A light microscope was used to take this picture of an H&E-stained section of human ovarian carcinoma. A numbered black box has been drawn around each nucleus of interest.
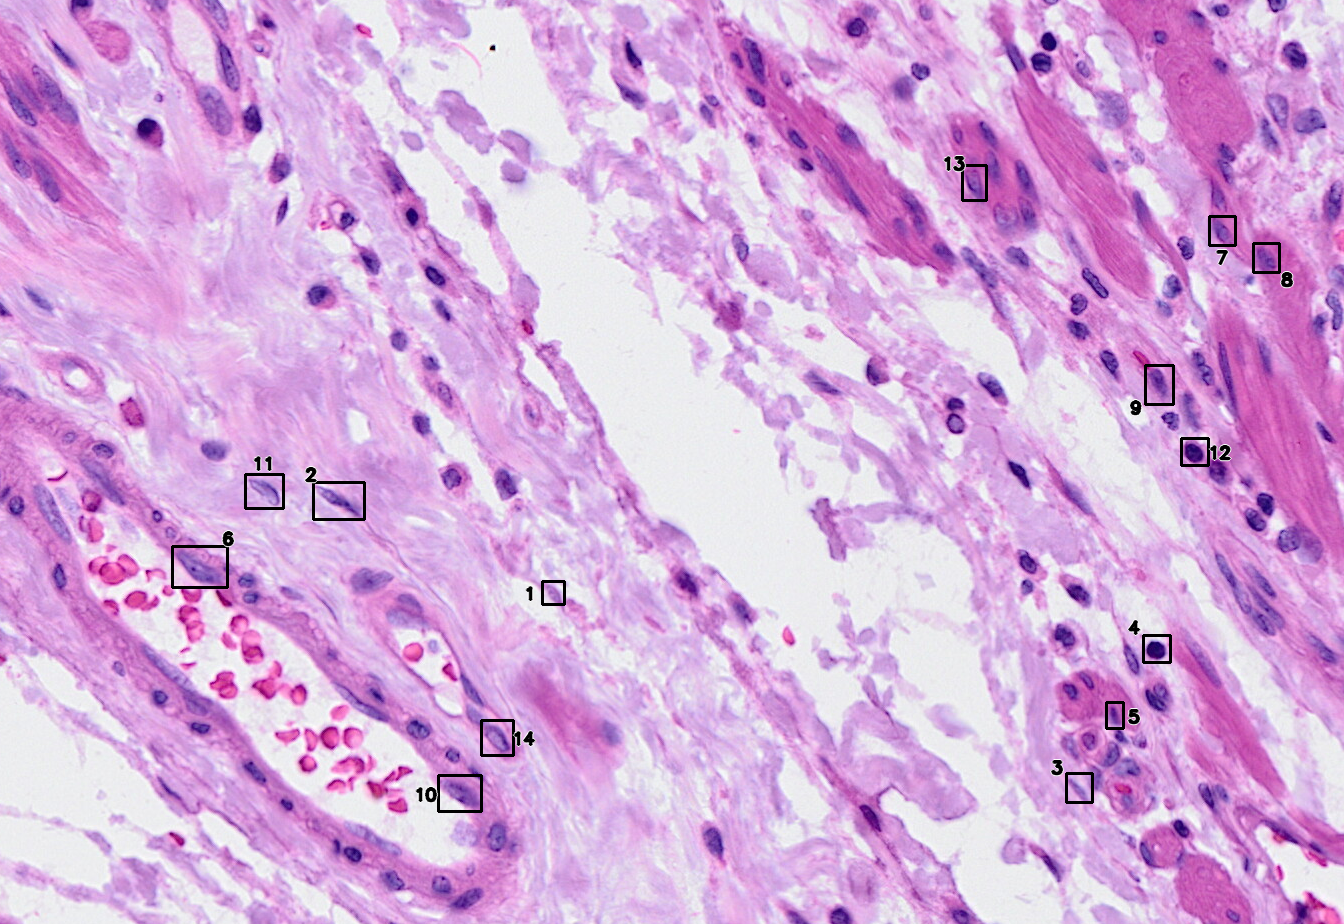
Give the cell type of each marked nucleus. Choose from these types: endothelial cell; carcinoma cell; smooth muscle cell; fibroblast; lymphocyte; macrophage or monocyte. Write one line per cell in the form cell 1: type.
cell 1: fibroblast
cell 2: macrophage or monocyte
cell 3: fibroblast
cell 4: lymphocyte
cell 5: smooth muscle cell
cell 6: endothelial cell
cell 7: smooth muscle cell
cell 8: smooth muscle cell
cell 9: endothelial cell
cell 10: endothelial cell
cell 11: fibroblast
cell 12: lymphocyte
cell 13: smooth muscle cell
cell 14: endothelial cell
